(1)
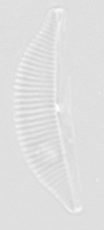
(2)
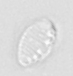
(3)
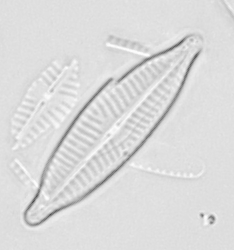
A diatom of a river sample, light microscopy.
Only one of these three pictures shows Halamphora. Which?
Picture 1.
